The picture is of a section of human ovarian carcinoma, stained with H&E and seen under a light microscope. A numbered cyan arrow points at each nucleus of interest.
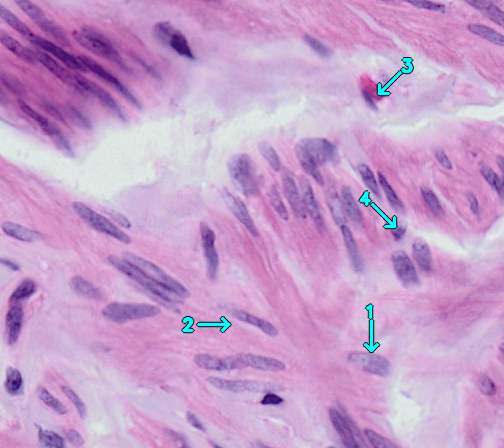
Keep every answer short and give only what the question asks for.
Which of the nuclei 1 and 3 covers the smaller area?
3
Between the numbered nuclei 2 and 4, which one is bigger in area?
2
